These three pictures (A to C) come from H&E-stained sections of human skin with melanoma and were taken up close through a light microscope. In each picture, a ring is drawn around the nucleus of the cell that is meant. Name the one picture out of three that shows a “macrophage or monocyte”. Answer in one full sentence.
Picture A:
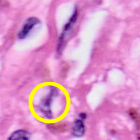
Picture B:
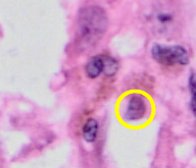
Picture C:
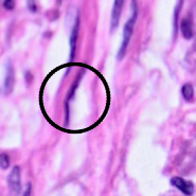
The picture with the “macrophage or monocyte” is B.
